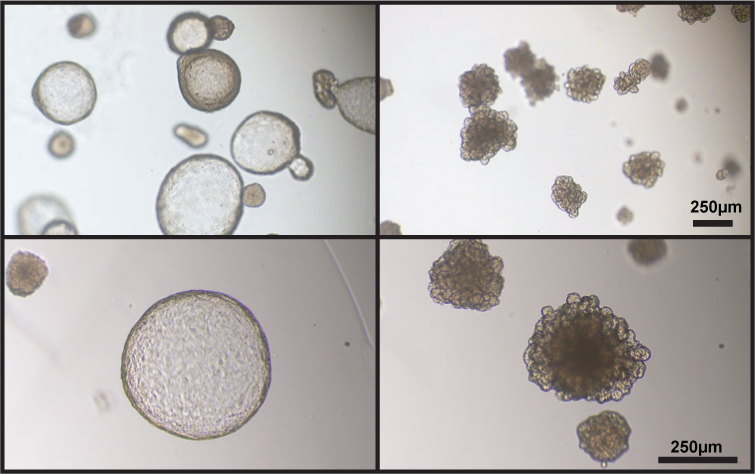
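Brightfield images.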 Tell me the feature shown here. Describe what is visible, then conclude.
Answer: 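Organoids. Rounded multicellular three-dimensional bodies float separately in a clear medium. Some are thin-walled hollow spheres, others are compact clusters.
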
